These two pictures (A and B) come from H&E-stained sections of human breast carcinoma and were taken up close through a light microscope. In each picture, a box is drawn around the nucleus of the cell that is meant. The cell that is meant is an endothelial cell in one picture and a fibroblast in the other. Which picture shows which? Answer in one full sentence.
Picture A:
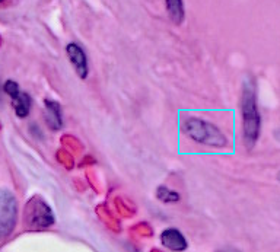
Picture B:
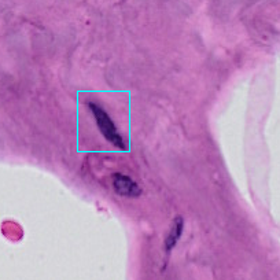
In picture A the cell is an endothelial cell; in picture B, a fibroblast.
